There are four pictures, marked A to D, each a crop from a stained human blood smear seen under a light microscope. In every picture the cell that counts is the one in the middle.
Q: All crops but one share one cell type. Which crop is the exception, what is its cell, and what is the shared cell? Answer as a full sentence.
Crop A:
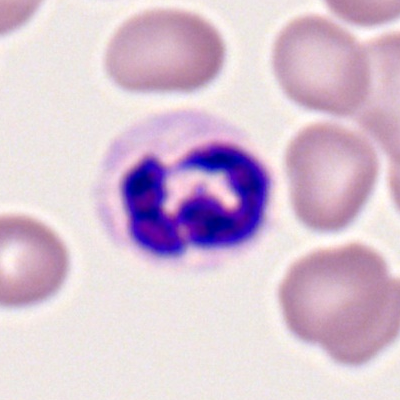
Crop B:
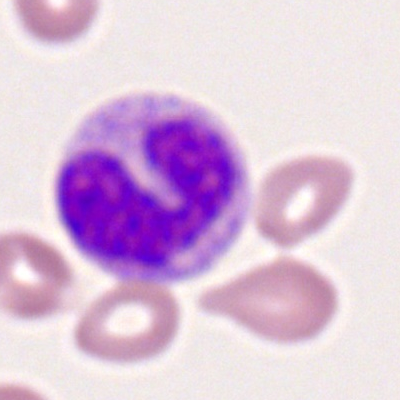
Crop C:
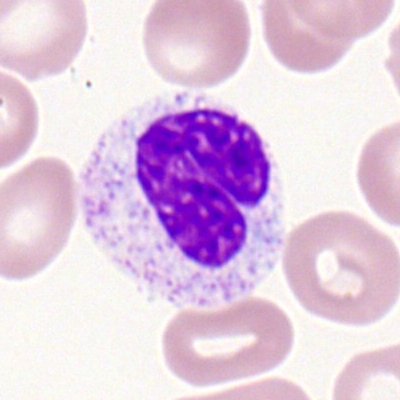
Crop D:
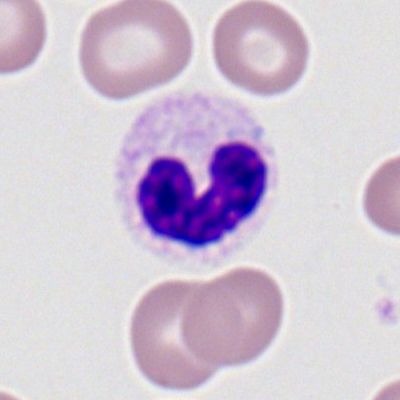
Crop A differs from its companions, showing a segmented neutrophil where they show band neutrophils.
